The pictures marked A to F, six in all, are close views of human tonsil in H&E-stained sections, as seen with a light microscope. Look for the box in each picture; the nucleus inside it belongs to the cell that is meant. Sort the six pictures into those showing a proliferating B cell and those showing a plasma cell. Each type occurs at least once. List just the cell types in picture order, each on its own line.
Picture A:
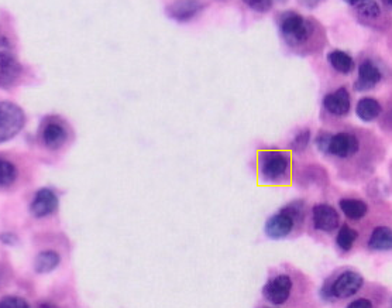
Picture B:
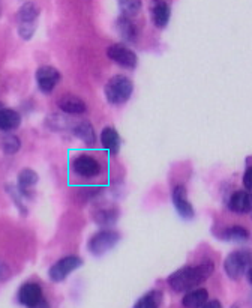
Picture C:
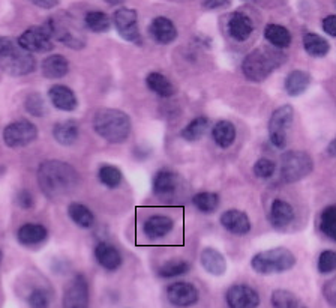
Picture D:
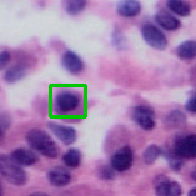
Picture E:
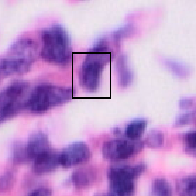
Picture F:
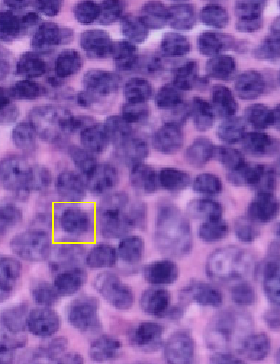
plasma cell
plasma cell
plasma cell
plasma cell
proliferating B cell
proliferating B cell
